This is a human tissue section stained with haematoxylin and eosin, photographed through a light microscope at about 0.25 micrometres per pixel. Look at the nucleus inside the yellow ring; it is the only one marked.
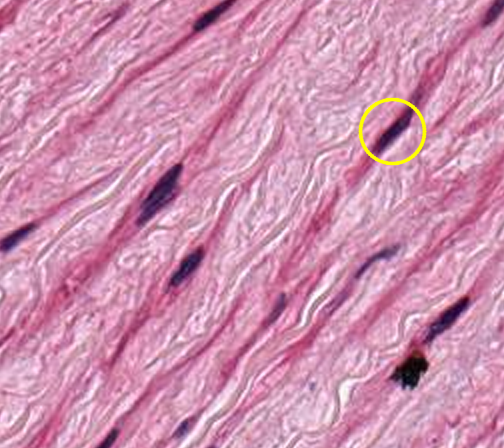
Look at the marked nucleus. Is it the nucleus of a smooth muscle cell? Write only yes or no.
yes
